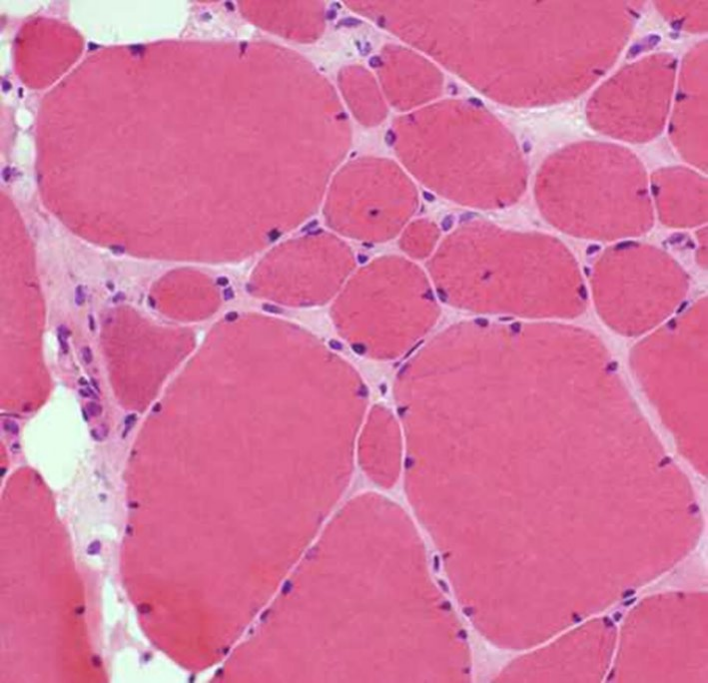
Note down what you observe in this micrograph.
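Cross-section of skeletal muscle showing fibres of markedly varying size, with very large polygonal fibres next to small rounded fibres. The fibres have evenly pink cytoplasm and mostly peripheral, dark purple, flattened nuclei. The small rounded fibres are gathered in a group between the large ones, separated by widened pale pink connective tissue. Some clear, empty-looking fat spaces lie within the connective tissue at the left edge.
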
